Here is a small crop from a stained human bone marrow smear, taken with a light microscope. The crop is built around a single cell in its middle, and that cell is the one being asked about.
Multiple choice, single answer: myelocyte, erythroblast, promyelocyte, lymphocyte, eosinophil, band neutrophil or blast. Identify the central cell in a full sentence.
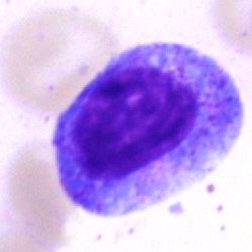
At the middle of the frame sits a promyelocyte.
